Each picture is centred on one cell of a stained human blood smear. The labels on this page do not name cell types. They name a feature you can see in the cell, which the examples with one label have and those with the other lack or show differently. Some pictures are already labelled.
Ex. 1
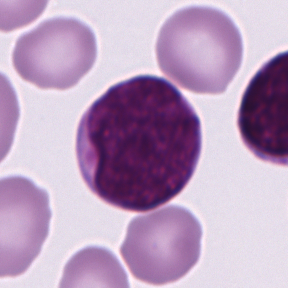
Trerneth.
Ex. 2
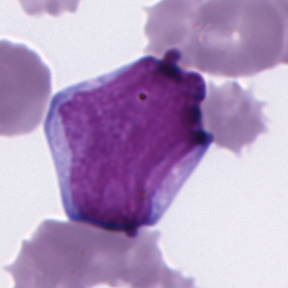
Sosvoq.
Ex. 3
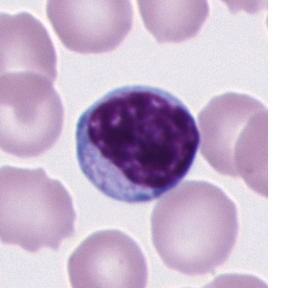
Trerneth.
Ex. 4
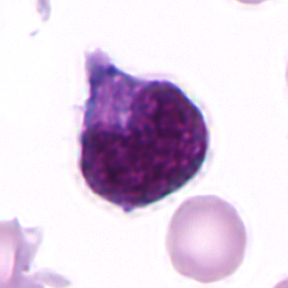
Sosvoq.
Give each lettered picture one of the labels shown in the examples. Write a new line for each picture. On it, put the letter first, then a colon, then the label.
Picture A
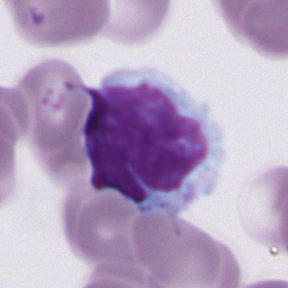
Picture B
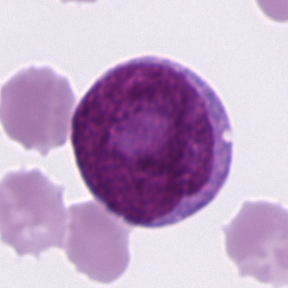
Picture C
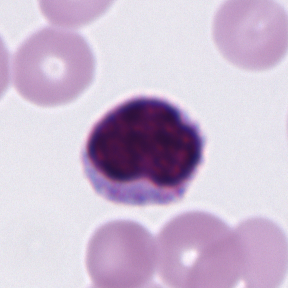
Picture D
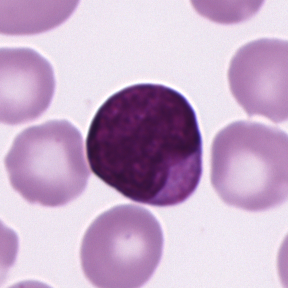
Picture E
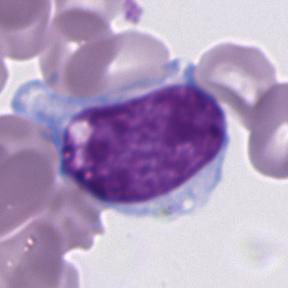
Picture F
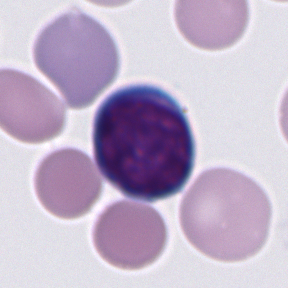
A: Sosvoq.
B: Trerneth.
C: Trerneth.
D: Trerneth.
E: Sosvoq.
F: Trerneth.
